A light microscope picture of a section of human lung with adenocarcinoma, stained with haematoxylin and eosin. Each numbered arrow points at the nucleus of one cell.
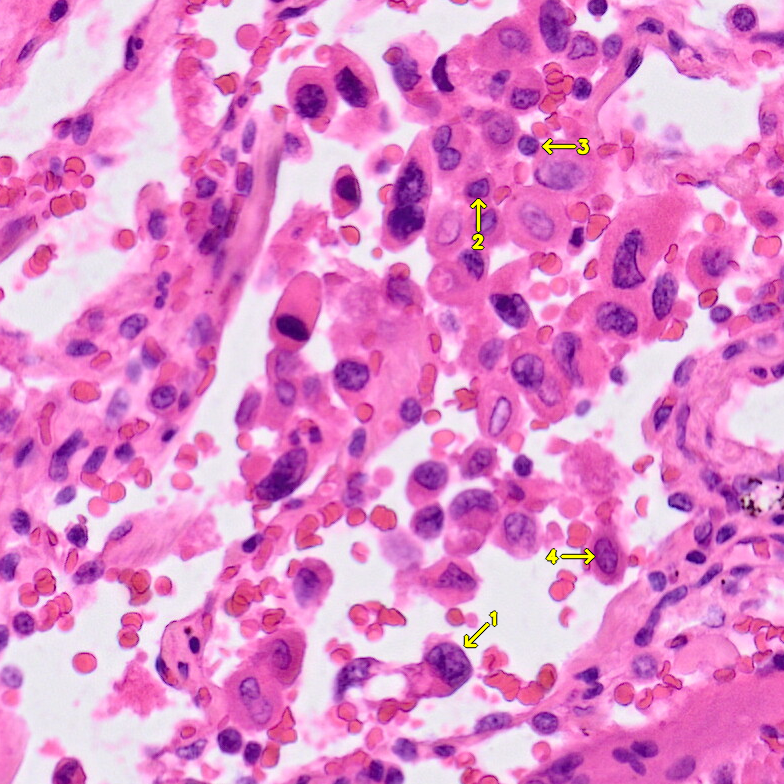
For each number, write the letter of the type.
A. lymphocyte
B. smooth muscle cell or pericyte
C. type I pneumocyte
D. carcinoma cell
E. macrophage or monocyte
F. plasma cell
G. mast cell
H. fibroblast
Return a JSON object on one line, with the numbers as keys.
{"1": "D", "2": "E", "3": "A", "4": "E"}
